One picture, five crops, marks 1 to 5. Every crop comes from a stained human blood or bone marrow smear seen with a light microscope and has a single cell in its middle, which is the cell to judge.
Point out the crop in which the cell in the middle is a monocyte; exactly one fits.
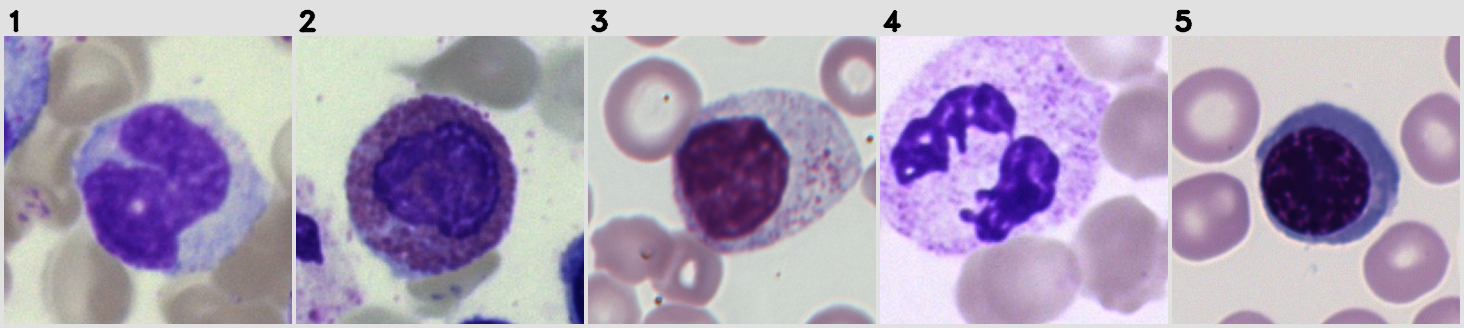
1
